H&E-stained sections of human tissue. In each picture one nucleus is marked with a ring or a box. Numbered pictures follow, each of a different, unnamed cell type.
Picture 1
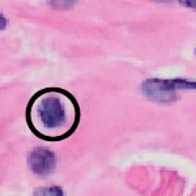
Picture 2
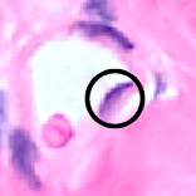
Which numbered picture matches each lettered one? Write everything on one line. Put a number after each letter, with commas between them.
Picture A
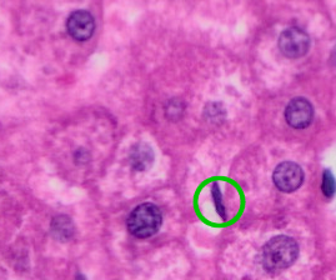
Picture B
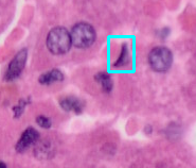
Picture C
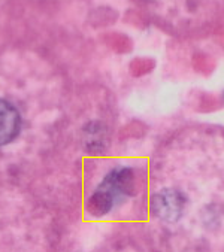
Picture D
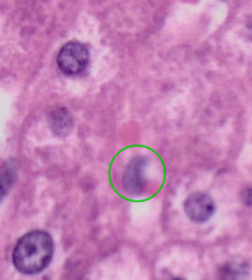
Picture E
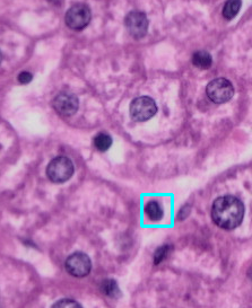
A 2, B 2, C 2, D 2, E 1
